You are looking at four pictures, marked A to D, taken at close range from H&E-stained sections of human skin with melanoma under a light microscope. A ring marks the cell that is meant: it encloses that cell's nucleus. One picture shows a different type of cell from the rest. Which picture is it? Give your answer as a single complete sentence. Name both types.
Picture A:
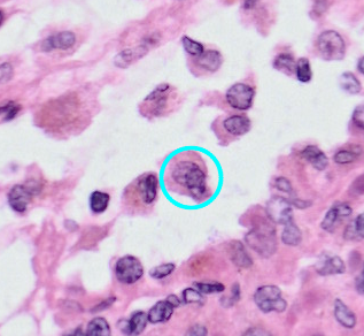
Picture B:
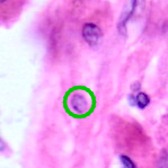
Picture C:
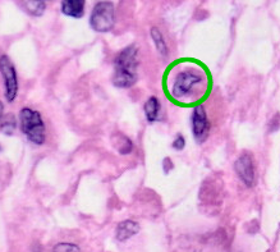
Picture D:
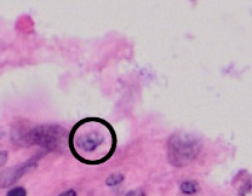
Picture D is the odd one out: it shows a lymphocyte, while the others show “macrophages or monocytes”.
